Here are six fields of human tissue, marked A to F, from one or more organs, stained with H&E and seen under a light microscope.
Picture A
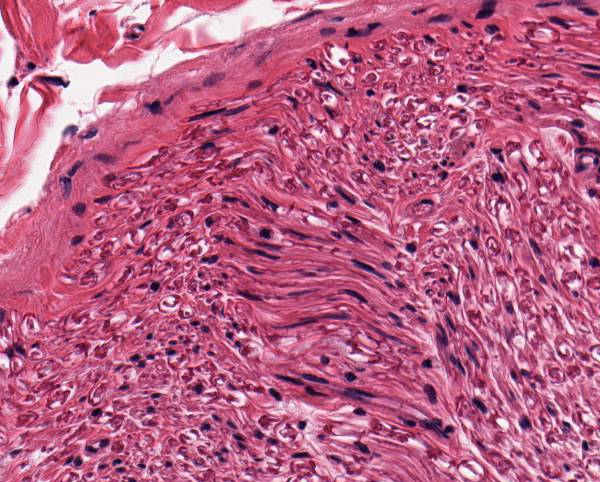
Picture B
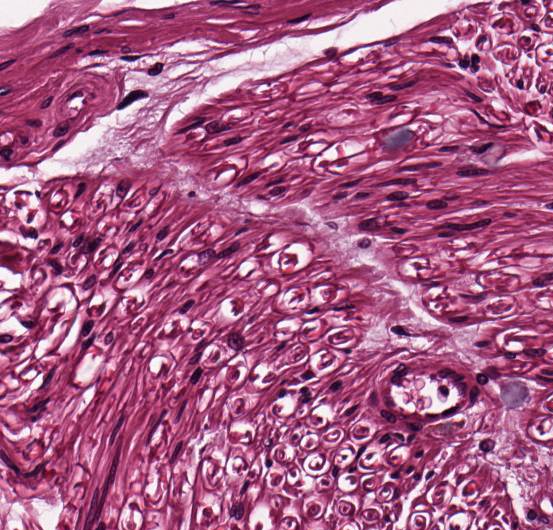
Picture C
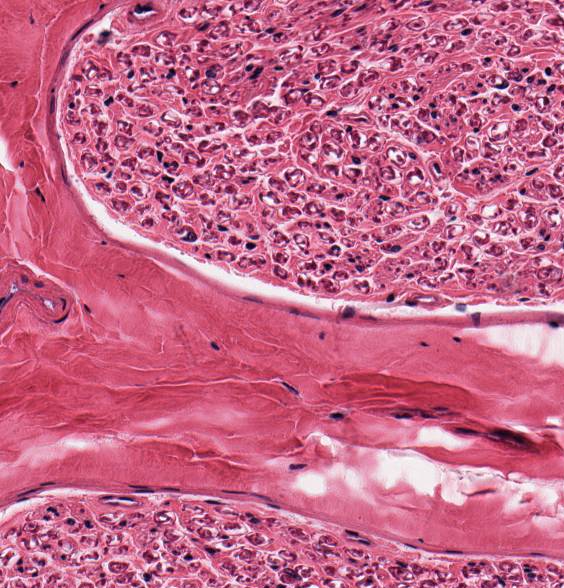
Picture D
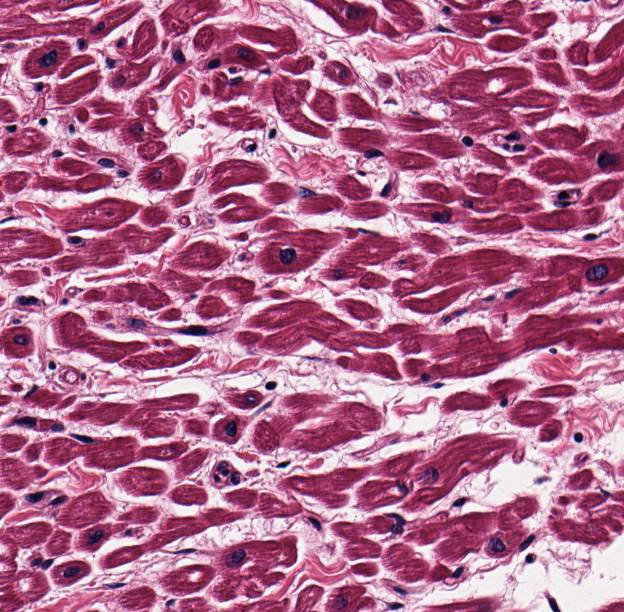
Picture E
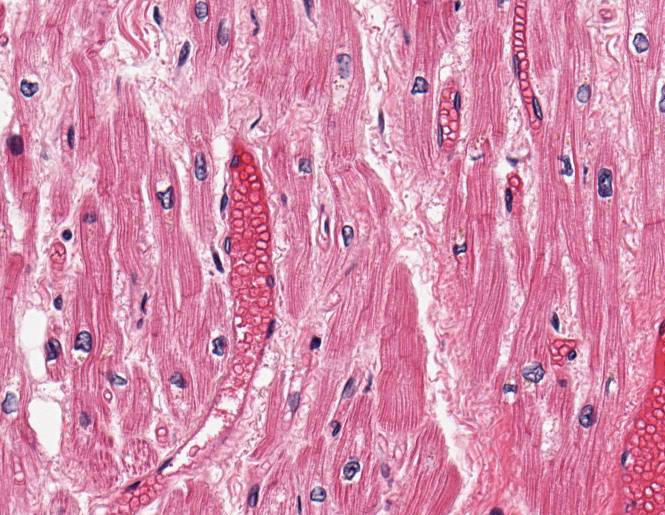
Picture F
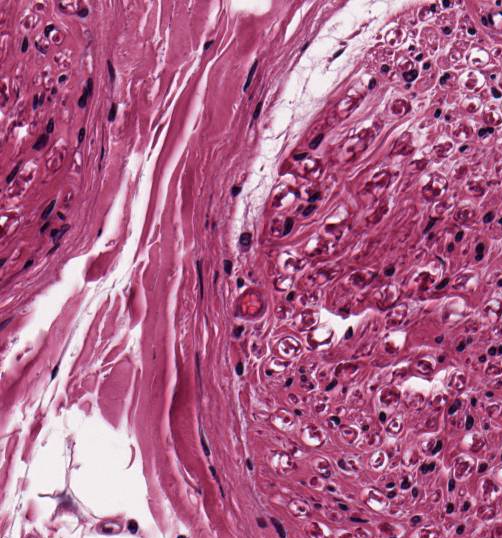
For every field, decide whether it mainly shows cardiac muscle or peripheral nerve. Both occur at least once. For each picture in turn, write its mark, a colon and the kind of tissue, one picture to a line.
A: peripheral nerve
B: peripheral nerve
C: peripheral nerve
D: cardiac muscle
E: cardiac muscle
F: peripheral nerve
